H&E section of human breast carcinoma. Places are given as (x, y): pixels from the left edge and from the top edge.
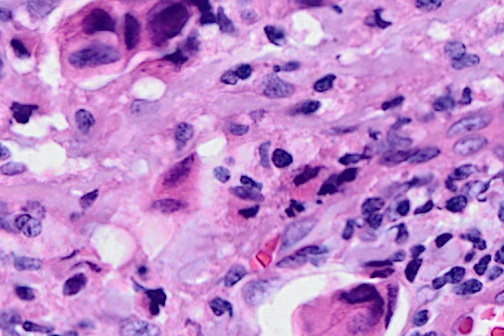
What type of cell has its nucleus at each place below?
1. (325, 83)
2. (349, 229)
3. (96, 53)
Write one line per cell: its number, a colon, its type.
1: lymphocyte
2: lymphocyte
3: carcinoma cell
